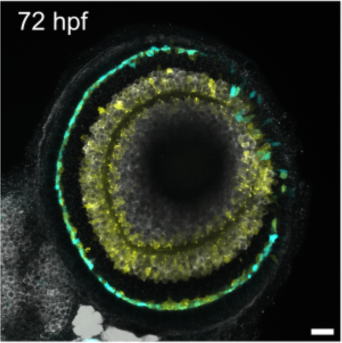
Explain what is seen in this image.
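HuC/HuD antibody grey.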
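This is a round cross-section of a fish eye with the dark lens at its centre, surrounded by the concentric layers of the retina. A thin ring of cyan cells lies on the outer side of the neural retina, where horizontal cells sit beneath the photoreceptors. Inside it a broad band of yellow cell bodies forms the inner part of the inner nuclear layer, where amacrine cells lie. Further inward a grey, densely packed ring of cell bodies surrounds the lens, the ganglion cell layer.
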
